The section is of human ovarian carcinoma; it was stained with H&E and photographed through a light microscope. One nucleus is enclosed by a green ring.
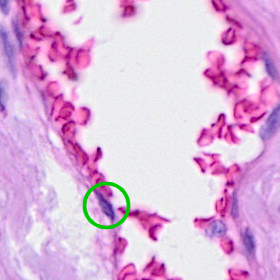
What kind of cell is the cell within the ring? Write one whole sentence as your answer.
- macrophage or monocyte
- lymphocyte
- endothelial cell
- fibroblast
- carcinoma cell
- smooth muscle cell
For the purposes of cell typing, the cell within the ring is categorized as an endothelial cell.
